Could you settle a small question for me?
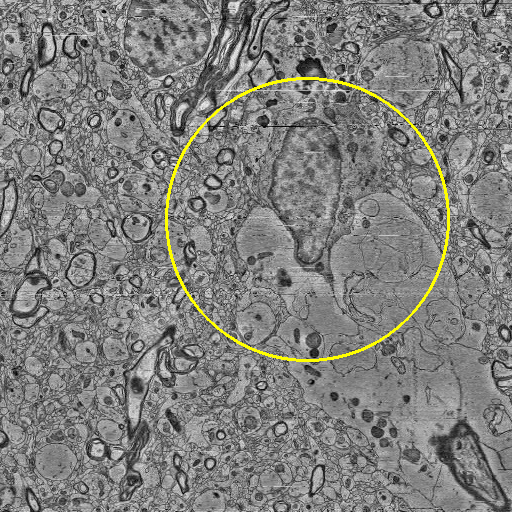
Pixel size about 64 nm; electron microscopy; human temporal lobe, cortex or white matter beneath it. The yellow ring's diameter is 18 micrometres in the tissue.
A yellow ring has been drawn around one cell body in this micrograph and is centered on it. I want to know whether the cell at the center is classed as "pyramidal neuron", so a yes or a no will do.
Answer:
no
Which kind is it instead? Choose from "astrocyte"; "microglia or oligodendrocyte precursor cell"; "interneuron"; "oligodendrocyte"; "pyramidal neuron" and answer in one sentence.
As it turns out, the cell at the ring centre is an oligodendrocyte.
